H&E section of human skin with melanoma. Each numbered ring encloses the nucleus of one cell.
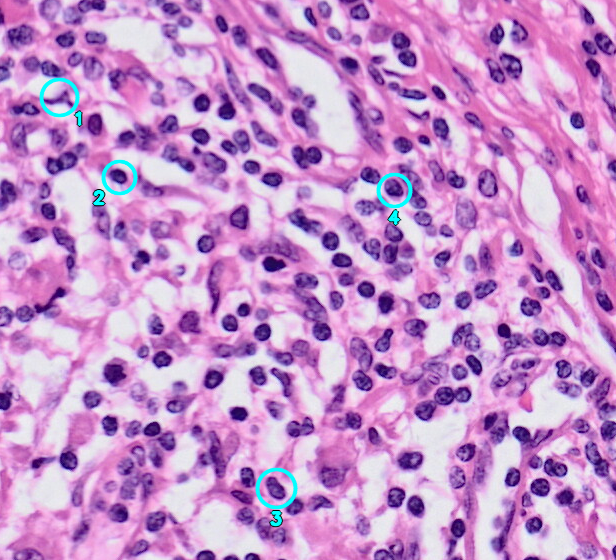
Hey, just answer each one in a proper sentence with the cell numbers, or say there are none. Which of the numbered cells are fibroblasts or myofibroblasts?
None but cell 1 among the numbered cells is a fibroblast or myofibroblast.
